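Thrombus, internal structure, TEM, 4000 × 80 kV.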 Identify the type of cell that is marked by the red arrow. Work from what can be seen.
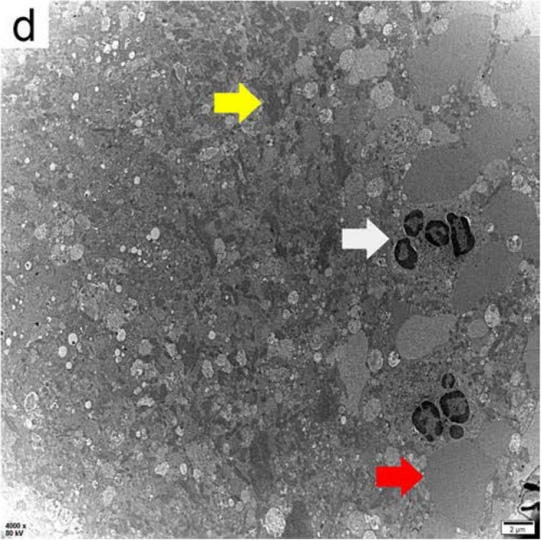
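The arrow points to a smooth, evenly gray profile without a nucleus. Similar homogeneous profiles lie at the edge of the panel.
Conclusion: erythrocytes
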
